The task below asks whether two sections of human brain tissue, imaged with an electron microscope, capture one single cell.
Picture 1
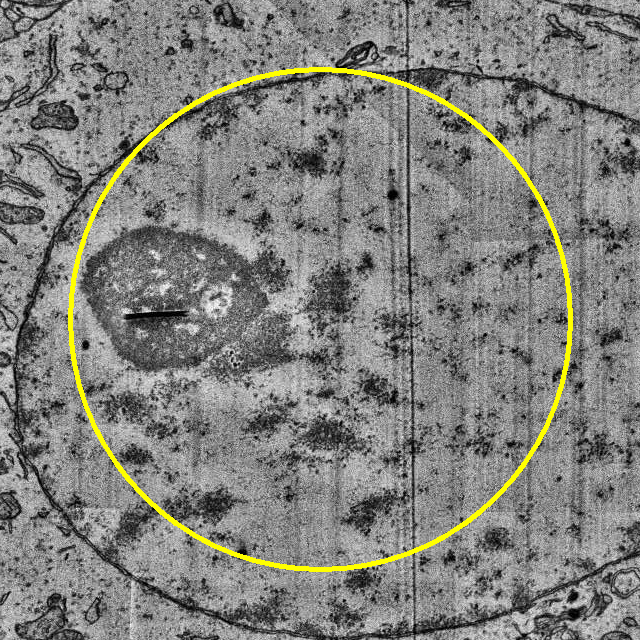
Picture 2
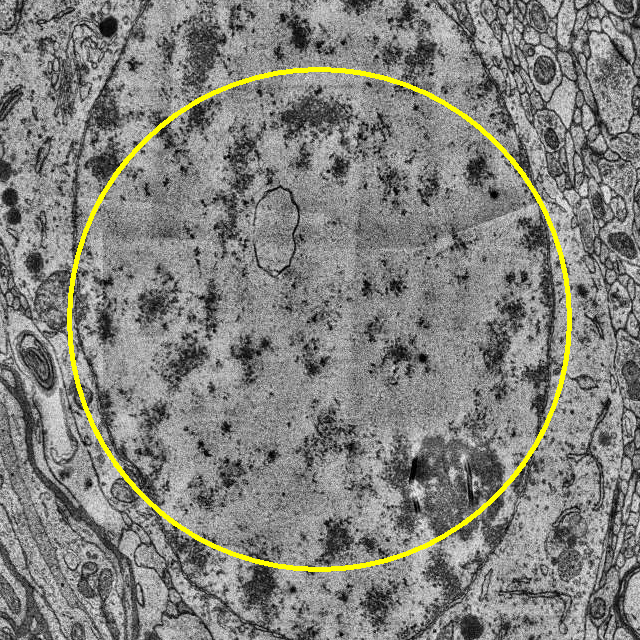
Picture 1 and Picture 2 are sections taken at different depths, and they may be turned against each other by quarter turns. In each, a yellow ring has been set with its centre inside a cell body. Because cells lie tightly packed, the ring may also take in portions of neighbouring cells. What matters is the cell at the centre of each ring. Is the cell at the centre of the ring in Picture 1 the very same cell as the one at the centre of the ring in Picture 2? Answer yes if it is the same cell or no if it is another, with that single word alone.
no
